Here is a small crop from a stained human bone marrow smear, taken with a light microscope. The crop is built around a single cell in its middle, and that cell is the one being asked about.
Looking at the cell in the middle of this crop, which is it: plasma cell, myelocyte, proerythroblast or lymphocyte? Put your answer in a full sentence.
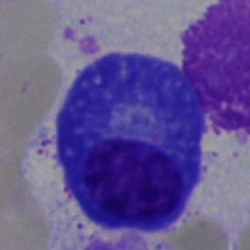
Answering briefly, the cell in the middle is a plasma cell.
